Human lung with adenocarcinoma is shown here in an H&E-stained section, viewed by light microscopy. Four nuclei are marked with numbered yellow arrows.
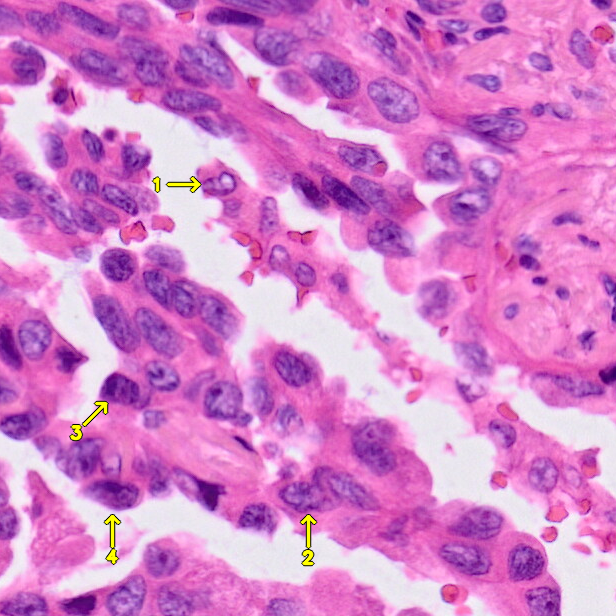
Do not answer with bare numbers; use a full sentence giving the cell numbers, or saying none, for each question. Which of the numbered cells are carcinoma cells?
To be specific, the cells numbered 2, 3 and 4 are carcinoma cells.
